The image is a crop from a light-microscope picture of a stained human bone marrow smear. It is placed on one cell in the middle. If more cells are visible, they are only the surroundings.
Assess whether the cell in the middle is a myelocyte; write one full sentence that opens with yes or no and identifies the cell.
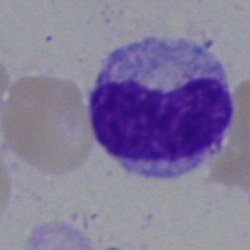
No, not a myelocyte but a metamyelocyte is the cell in the centre.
